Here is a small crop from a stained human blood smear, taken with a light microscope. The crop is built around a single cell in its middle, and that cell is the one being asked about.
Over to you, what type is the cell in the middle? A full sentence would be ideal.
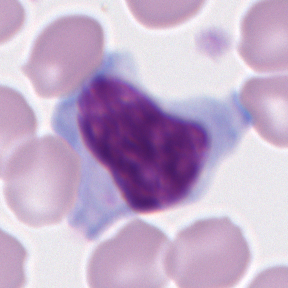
Here the cell in the middle is a typical lymphocyte.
